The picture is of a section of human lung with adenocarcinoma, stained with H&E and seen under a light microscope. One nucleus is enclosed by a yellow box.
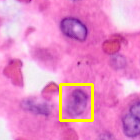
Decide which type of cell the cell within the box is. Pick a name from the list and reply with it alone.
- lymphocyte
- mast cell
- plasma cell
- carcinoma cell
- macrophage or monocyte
macrophage or monocyte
